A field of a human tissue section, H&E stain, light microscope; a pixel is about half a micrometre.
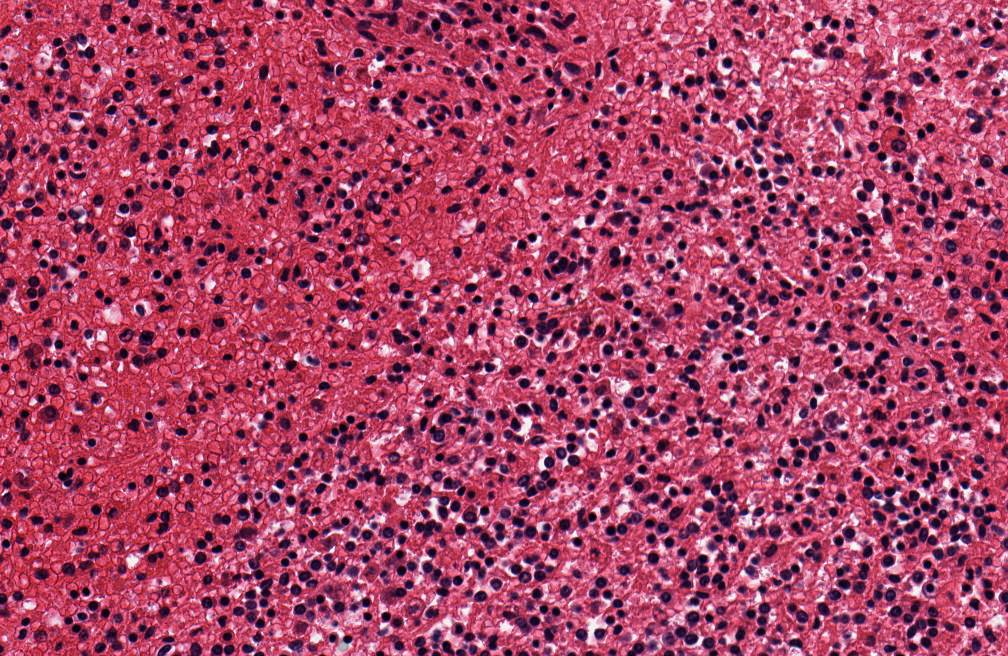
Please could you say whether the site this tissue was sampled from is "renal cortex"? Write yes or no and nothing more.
no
